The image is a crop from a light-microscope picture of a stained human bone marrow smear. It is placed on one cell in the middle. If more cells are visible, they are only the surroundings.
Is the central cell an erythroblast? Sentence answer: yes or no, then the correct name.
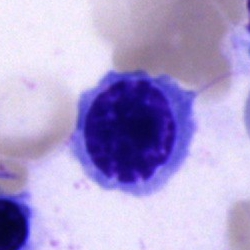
Yes, the one cell at the centre is an erythroblast.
